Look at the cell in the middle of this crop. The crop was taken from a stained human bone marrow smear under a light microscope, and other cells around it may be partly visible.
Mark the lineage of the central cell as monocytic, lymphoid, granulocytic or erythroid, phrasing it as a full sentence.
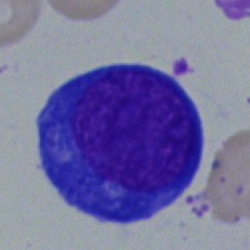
With respect to lineage, the central cell is to be called erythroid.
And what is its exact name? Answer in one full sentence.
The cell under consideration, at the middle of the crop, is a proerythroblast.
